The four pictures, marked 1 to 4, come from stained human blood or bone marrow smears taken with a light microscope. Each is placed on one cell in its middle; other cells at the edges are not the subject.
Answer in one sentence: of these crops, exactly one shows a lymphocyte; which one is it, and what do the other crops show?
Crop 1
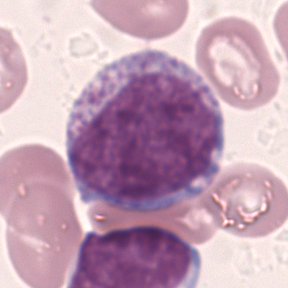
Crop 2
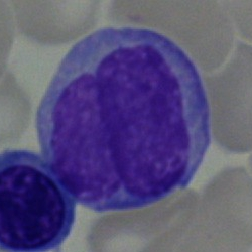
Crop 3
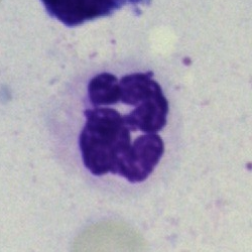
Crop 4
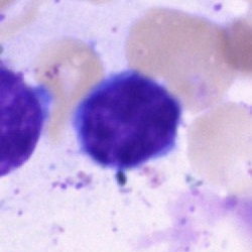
Crop 4 has a lymphocyte as its central cell, while crop 1 is a promyelocyte, crop 2 is a monocyte and crop 3 is a segmented neutrophil.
